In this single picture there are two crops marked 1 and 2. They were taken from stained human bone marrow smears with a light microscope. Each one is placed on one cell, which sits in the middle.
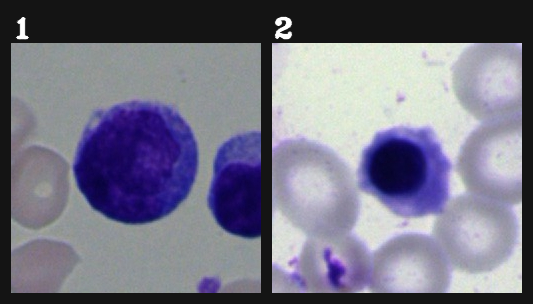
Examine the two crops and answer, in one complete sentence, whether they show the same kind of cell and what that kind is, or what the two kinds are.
No, in fact crop 1 shows a blast, and crop 2 shows an erythroblast.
